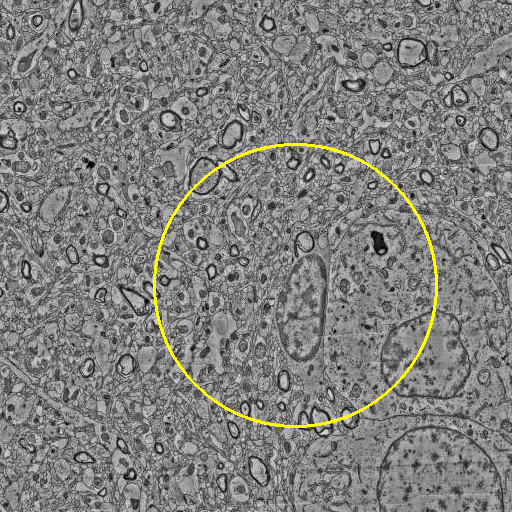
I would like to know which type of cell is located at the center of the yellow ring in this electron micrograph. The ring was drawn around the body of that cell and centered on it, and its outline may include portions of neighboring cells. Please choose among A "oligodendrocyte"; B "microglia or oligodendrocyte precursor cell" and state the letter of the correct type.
A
